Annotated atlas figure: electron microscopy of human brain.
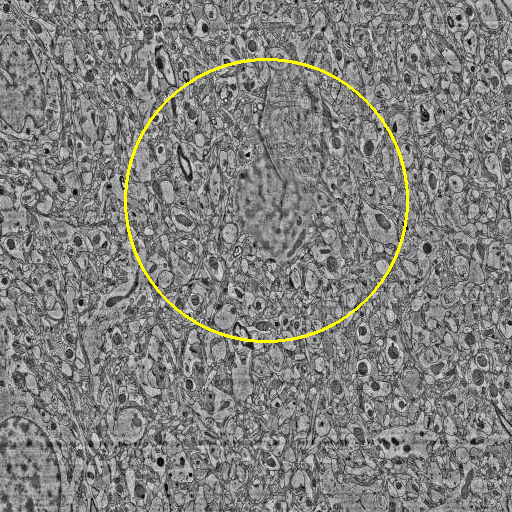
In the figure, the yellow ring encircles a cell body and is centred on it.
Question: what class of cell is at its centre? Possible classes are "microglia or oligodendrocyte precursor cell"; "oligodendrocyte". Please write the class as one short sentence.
The yellow ring is drawn around an oligodendrocyte.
